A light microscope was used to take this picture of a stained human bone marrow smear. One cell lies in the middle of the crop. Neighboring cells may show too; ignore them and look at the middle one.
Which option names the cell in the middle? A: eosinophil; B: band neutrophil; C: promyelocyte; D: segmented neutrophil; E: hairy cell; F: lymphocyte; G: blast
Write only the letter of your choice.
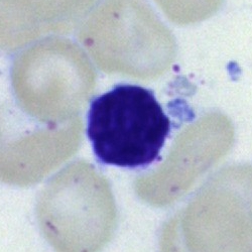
F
